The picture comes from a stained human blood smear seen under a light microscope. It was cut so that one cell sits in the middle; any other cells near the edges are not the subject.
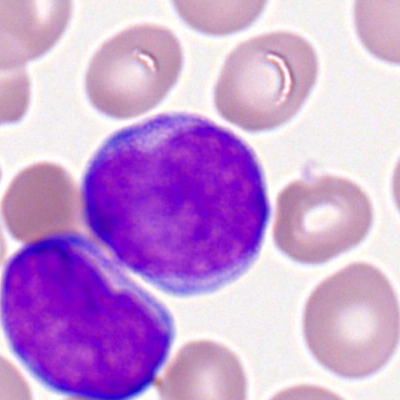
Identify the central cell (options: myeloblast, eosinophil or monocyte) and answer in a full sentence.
The cell shown in the center of this light-microscope crop is a myeloblast.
